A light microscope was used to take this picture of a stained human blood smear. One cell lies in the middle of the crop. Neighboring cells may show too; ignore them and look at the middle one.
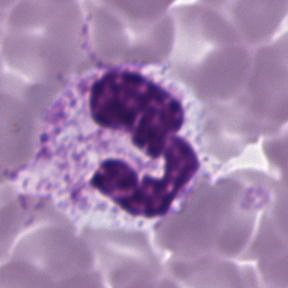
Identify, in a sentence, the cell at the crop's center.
The cell shown in the center of this light-microscope crop is a segmented neutrophil.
